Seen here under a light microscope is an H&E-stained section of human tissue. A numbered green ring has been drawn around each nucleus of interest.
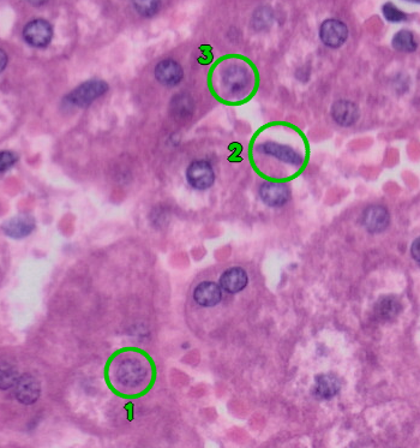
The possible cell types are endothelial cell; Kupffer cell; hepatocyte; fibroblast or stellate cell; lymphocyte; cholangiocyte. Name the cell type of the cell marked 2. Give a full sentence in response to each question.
In the marked set, the cell given number 2 is a Kupffer cell.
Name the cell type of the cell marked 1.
Cell 1 in the field is a hepatocyte.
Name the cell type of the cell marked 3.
Classified as a hepatocyte is the cell with the number 3.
